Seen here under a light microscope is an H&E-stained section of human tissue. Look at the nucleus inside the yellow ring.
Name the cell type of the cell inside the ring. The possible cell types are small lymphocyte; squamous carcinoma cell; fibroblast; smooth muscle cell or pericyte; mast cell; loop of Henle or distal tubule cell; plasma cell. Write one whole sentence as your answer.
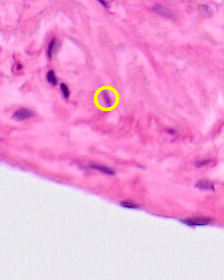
In cellular terms, the cell inside the ring is a smooth muscle cell or pericyte.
